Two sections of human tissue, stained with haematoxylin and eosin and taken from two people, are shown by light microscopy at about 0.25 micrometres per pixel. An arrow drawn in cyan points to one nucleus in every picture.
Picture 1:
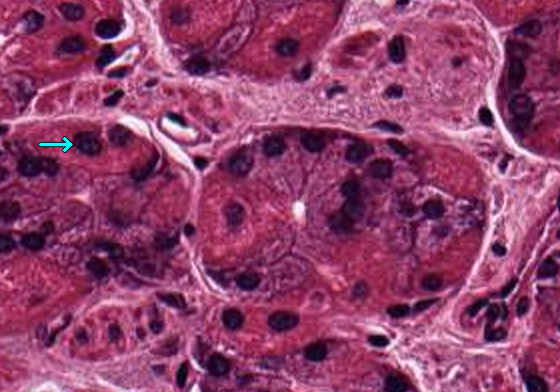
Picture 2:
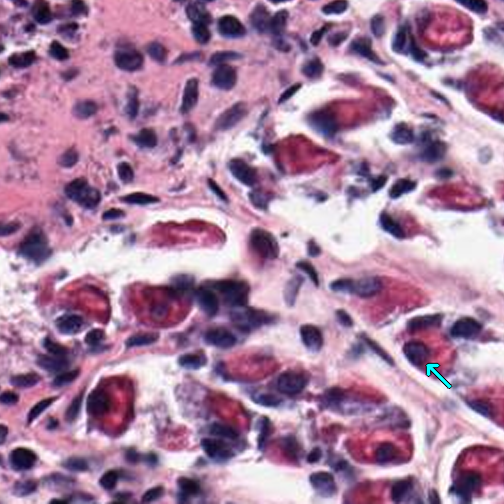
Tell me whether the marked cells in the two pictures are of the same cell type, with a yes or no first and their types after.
Yes, both are parietal cells.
